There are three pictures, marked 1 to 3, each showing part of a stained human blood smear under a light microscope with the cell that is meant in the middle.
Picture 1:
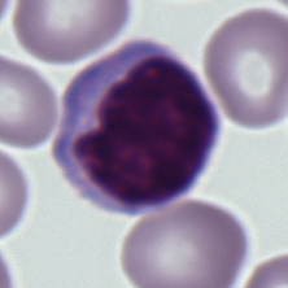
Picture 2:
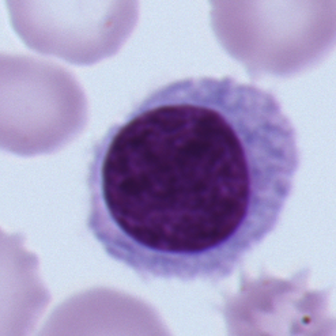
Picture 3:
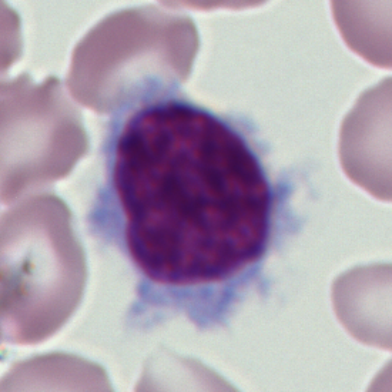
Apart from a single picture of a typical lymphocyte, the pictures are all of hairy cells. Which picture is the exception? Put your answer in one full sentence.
Picture 1 is the one that shows the typical lymphocyte.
